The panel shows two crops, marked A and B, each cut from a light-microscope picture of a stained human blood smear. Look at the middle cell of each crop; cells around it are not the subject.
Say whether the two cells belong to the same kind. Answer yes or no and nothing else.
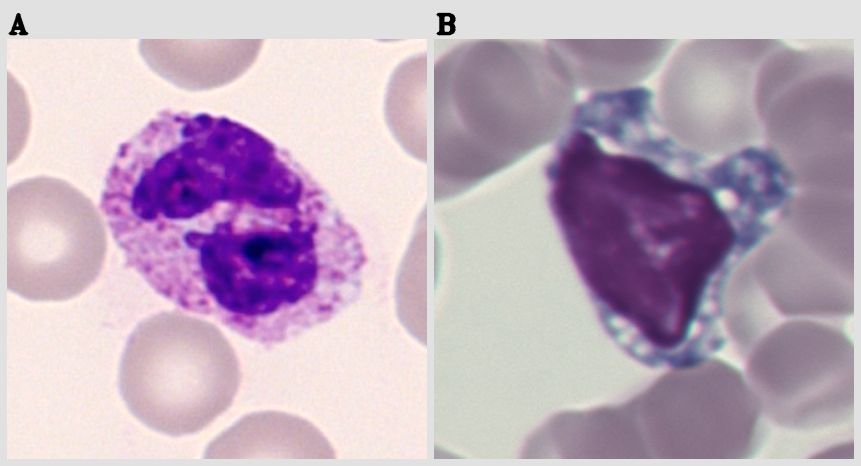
no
